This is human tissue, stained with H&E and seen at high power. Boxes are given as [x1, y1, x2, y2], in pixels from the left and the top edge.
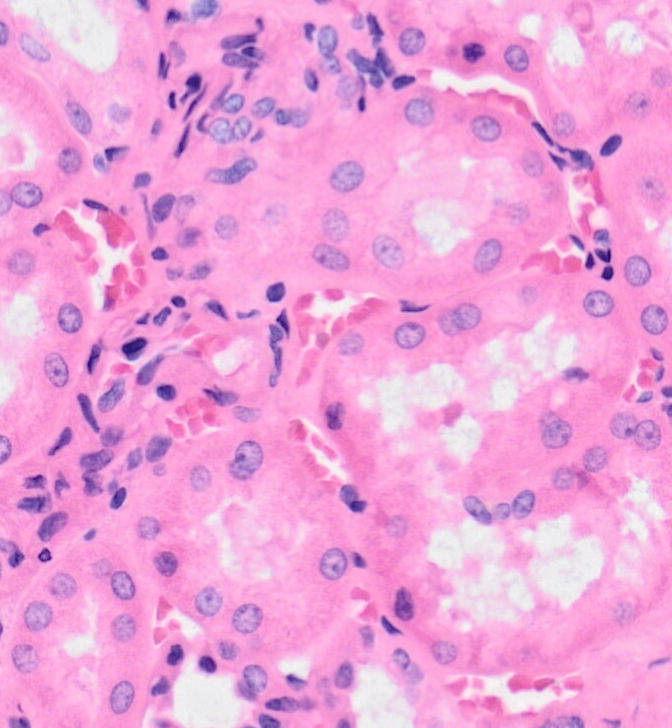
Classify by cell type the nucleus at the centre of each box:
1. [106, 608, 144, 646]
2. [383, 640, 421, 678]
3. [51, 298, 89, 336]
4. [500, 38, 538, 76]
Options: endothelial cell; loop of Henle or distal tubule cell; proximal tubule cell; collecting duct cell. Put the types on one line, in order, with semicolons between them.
proximal tubule cell; collecting duct cell; proximal tubule cell; proximal tubule cell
